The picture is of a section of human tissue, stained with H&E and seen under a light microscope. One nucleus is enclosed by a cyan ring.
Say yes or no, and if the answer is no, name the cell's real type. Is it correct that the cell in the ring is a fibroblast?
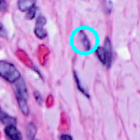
Yes.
